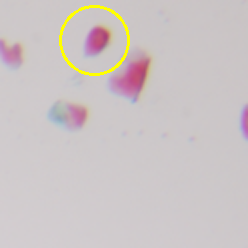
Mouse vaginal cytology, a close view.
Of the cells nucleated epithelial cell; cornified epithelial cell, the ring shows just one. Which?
The ring shows a cornified epithelial cell.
